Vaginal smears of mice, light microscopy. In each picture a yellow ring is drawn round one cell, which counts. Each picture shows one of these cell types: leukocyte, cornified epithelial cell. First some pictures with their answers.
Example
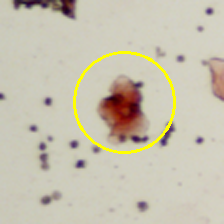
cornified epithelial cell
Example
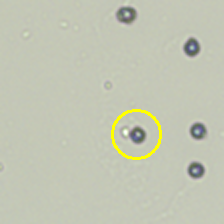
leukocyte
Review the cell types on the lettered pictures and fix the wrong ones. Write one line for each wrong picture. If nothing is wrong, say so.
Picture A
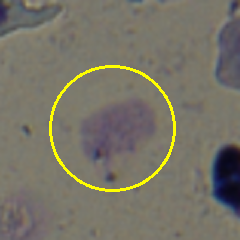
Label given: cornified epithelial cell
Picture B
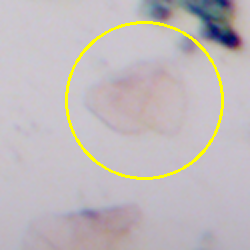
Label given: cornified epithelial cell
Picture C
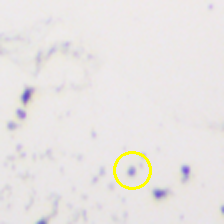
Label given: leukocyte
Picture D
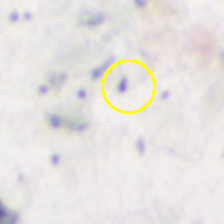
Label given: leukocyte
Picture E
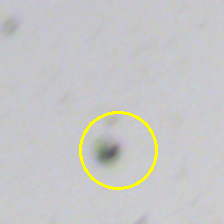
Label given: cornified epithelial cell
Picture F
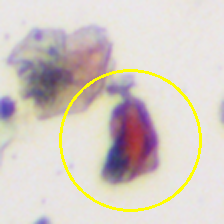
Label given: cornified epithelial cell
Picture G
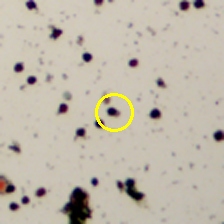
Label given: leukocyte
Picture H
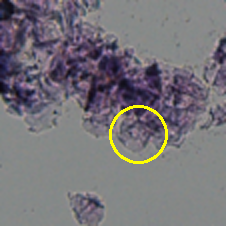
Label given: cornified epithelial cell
E is labelled cornified epithelial cell; correct label: leukocyte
